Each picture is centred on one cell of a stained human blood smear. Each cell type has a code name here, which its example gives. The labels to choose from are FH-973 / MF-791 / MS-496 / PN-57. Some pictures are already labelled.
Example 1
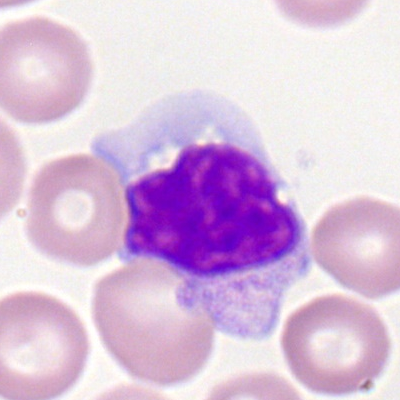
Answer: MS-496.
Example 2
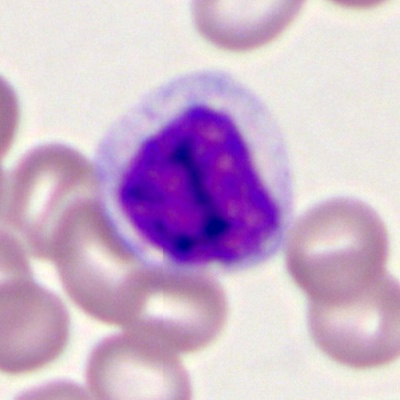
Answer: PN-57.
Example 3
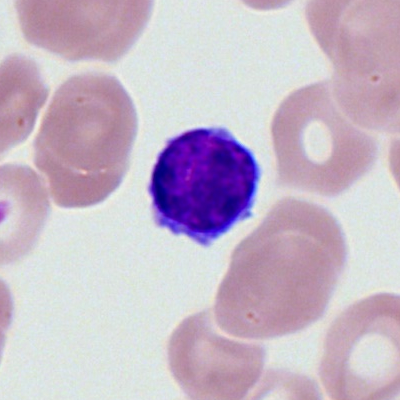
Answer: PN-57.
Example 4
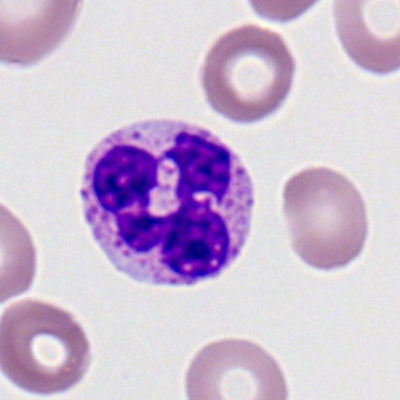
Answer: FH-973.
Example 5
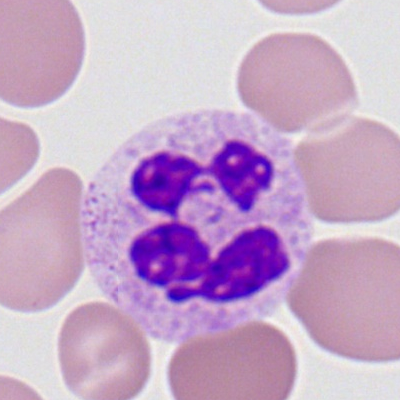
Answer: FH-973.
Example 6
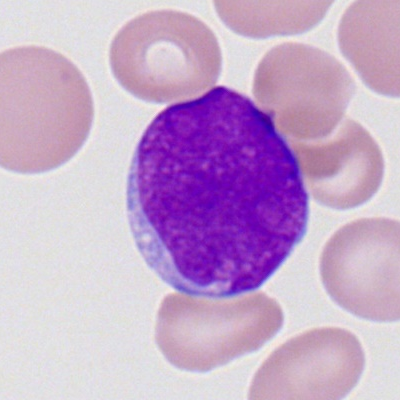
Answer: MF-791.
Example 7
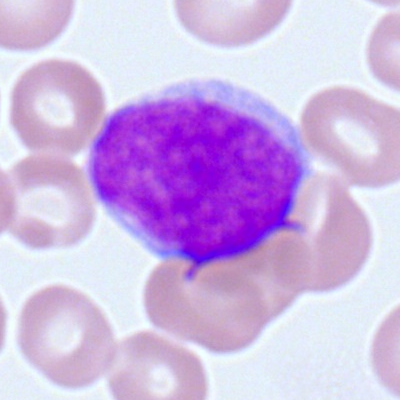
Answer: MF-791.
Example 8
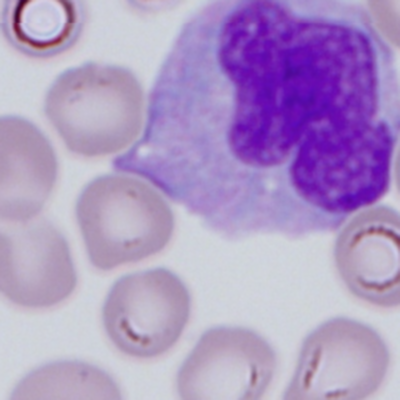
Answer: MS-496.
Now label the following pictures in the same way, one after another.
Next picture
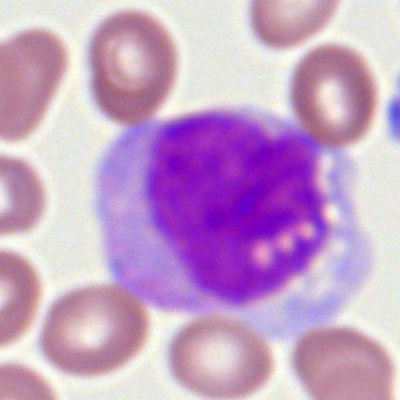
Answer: MS-496.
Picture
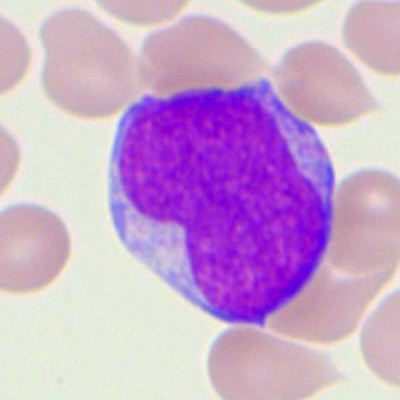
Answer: MF-791.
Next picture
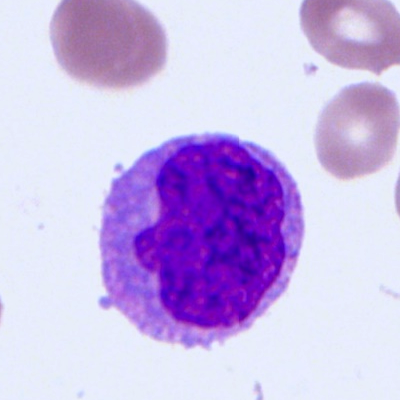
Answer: MS-496.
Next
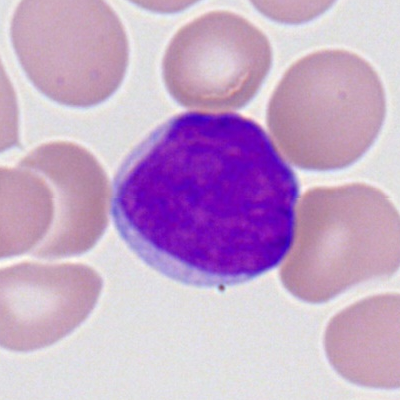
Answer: MF-791.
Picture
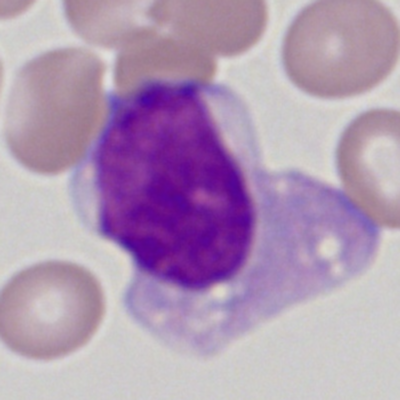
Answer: MS-496.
